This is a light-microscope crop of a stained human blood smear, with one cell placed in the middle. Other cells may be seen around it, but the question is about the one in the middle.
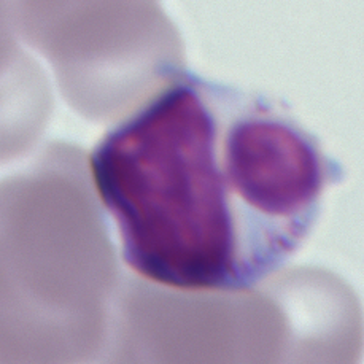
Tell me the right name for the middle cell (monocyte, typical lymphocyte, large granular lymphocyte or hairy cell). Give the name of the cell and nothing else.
large granular lymphocyte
